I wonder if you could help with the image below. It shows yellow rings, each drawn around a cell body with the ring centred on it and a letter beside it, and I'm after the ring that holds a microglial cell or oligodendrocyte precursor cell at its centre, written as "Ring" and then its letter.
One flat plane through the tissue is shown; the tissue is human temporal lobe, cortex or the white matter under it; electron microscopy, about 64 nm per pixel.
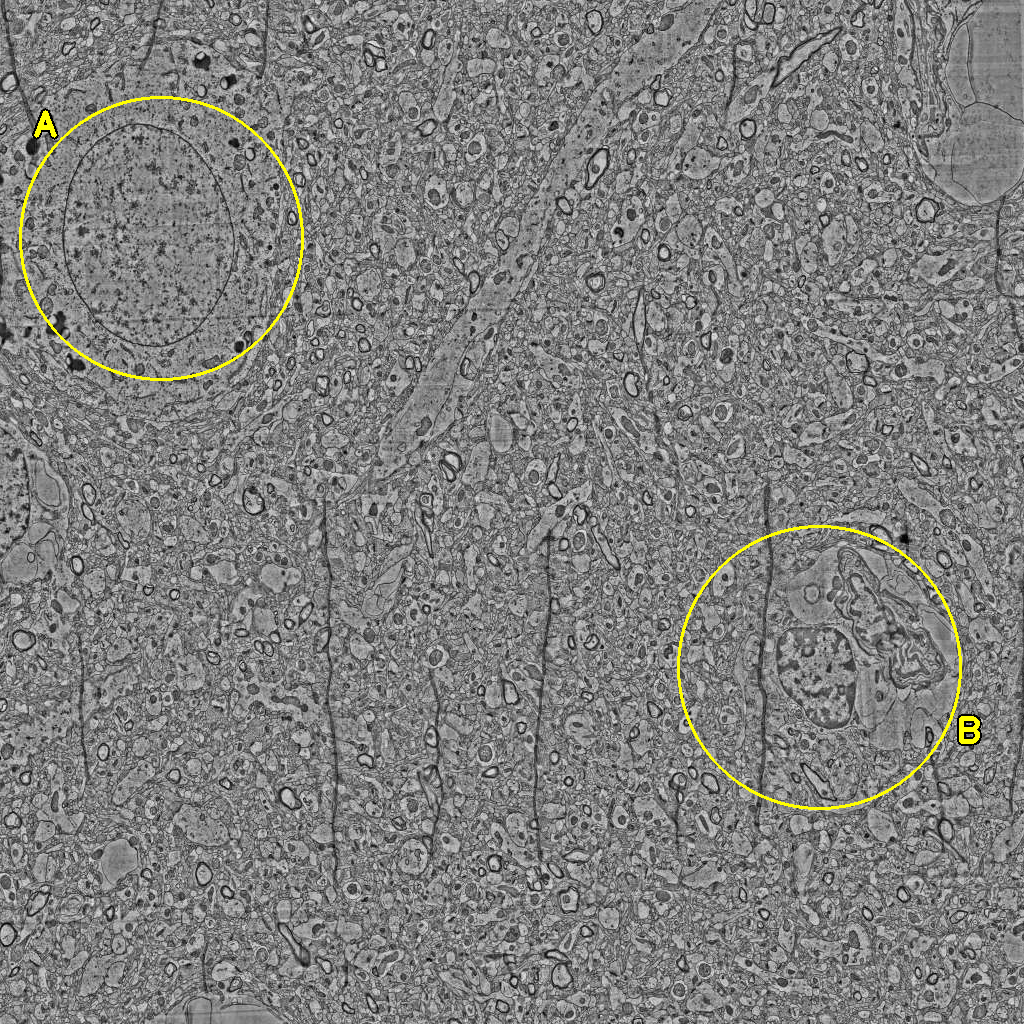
Ring B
